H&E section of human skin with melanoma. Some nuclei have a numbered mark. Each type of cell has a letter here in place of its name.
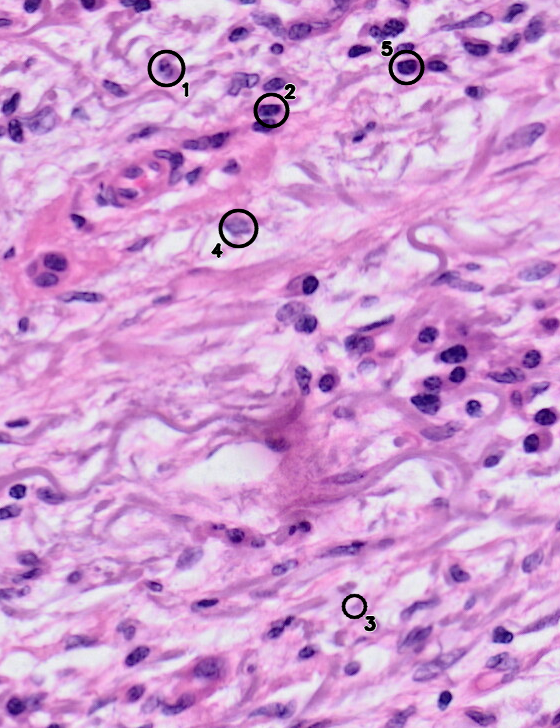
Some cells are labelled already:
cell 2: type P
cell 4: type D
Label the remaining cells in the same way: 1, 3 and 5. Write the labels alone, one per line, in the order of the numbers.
type P
type D
type P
